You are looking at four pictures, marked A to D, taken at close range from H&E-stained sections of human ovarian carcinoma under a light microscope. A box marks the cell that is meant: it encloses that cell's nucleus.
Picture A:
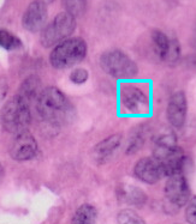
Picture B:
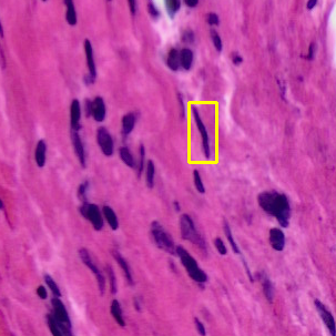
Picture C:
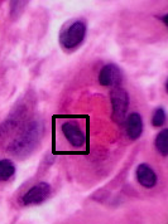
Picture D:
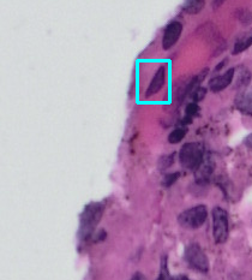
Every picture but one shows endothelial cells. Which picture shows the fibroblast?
B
